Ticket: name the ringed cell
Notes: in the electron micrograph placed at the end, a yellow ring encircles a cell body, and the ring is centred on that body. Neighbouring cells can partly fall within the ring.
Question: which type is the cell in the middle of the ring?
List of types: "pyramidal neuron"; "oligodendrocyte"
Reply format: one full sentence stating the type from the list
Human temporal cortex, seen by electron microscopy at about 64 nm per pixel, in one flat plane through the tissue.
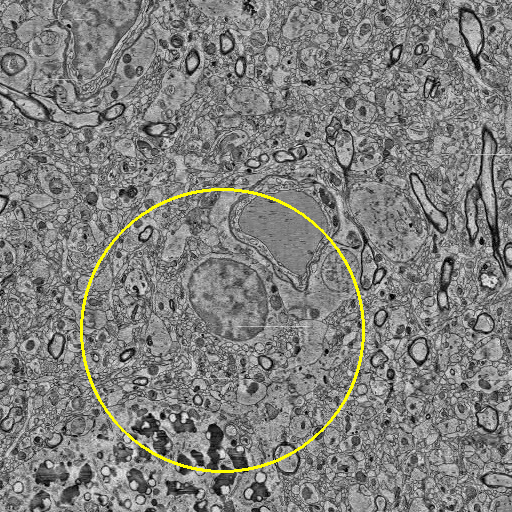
The cell sitting at the centre of the yellow ring is an oligodendrocyte.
